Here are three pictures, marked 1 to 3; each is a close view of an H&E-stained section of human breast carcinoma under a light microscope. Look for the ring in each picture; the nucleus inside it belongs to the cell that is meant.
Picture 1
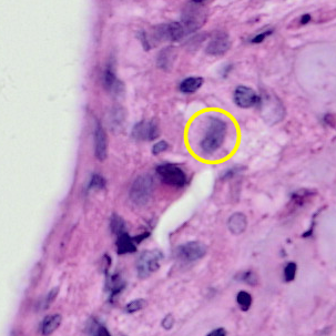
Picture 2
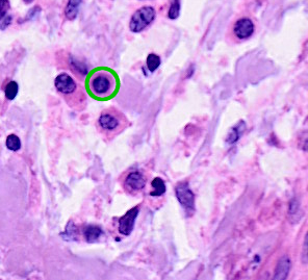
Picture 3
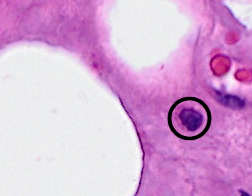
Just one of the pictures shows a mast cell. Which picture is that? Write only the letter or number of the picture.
2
